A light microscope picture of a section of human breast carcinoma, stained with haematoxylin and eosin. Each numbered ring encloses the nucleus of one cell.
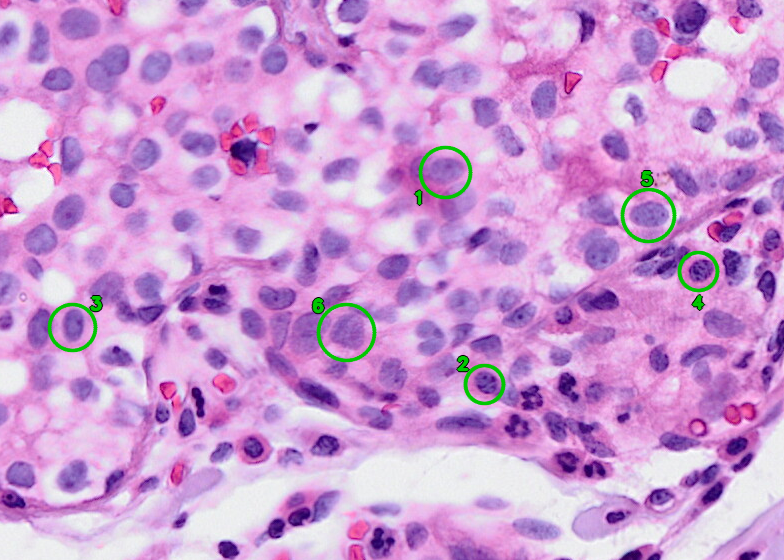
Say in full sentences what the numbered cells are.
Cells 1, 3, 5 and 6 are carcinoma cells. Cells 2 and 4 are mast cells.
